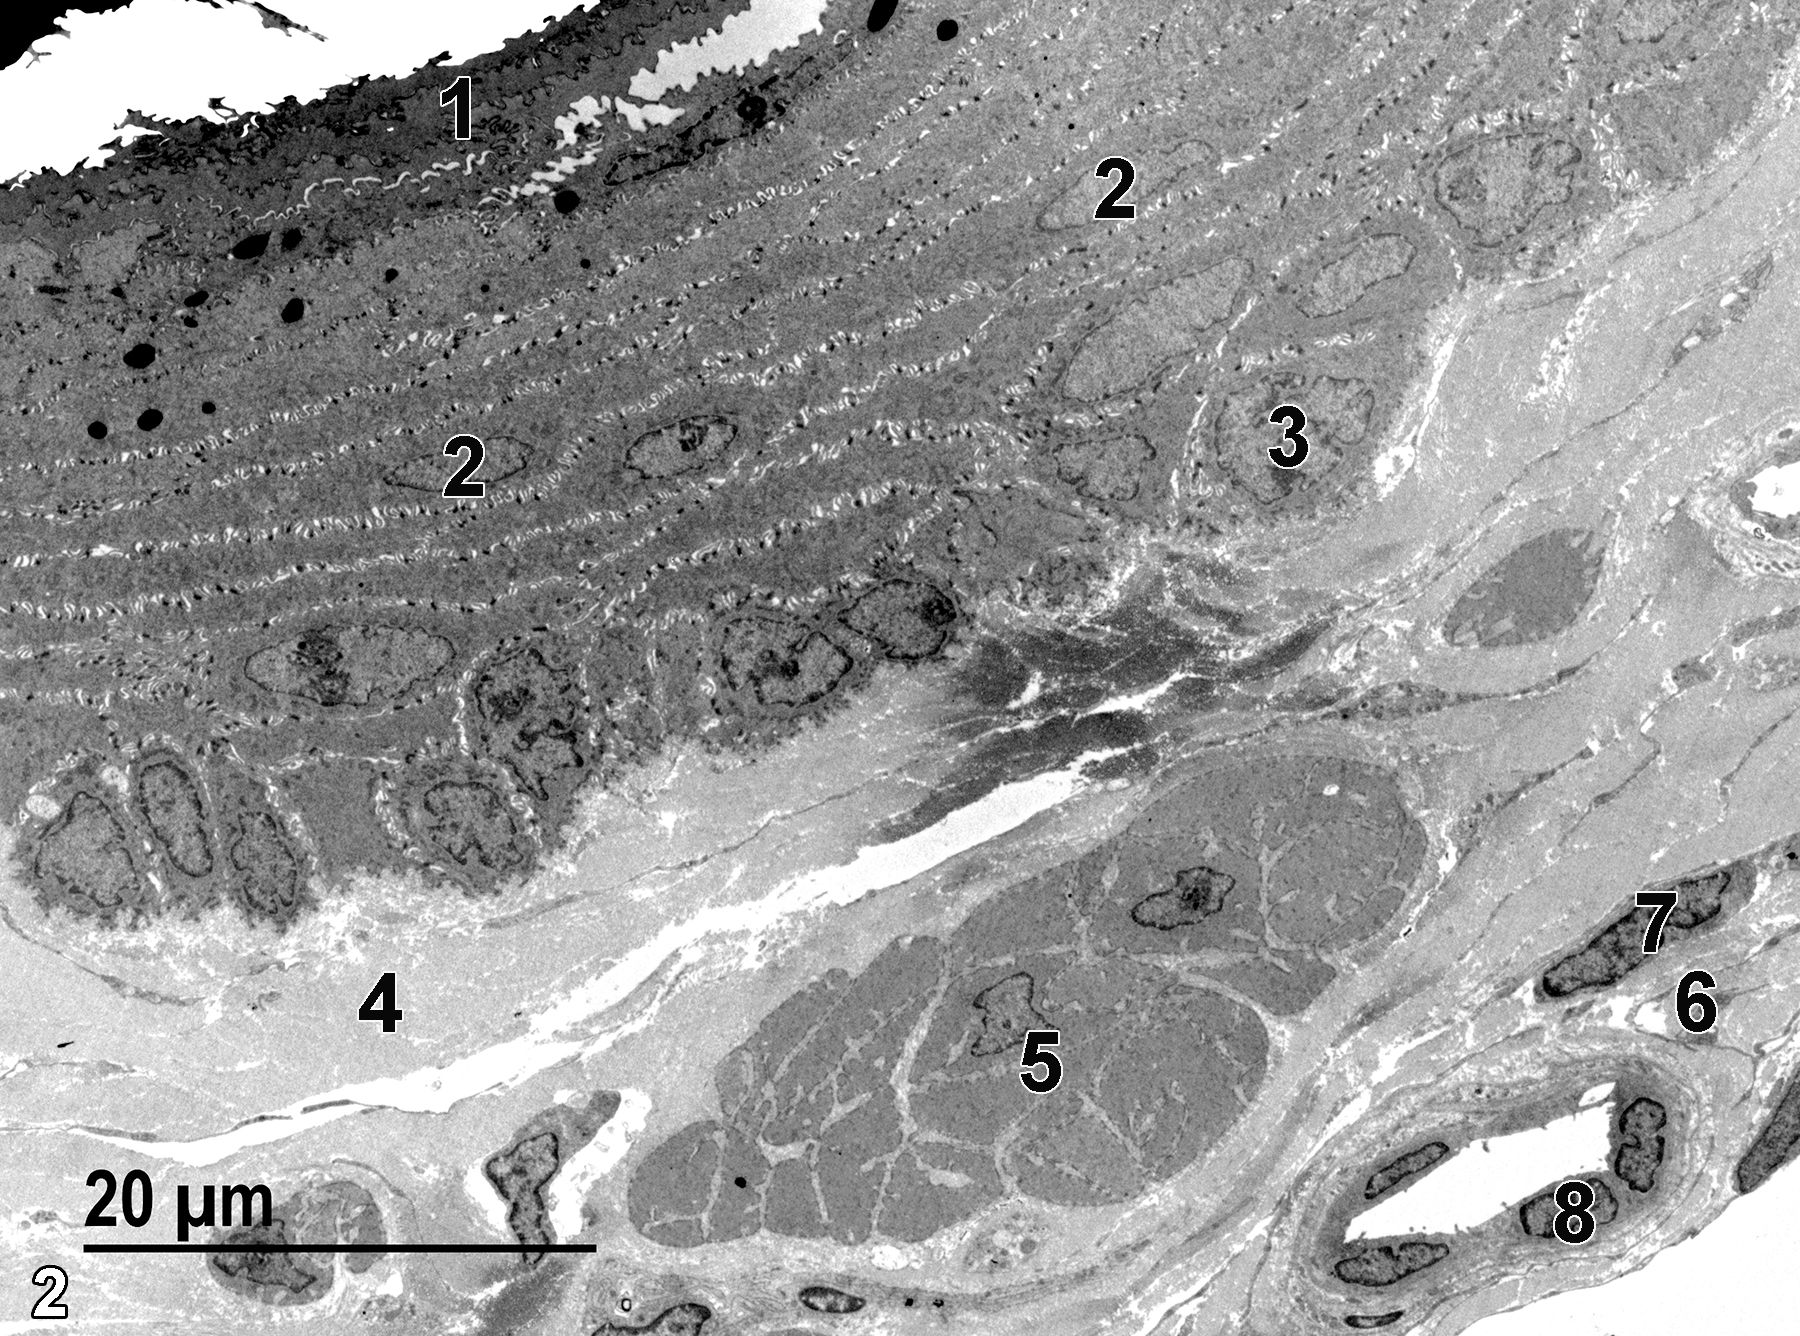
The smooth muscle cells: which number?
5.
